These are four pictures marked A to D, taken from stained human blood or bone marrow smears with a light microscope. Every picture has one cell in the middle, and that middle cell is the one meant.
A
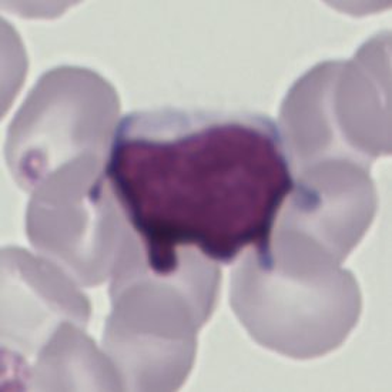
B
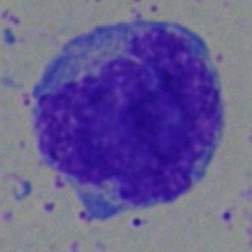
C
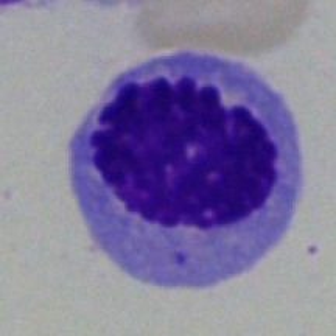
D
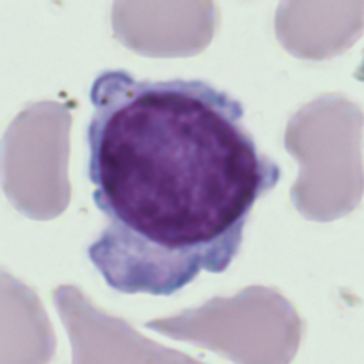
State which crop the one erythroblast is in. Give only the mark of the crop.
C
